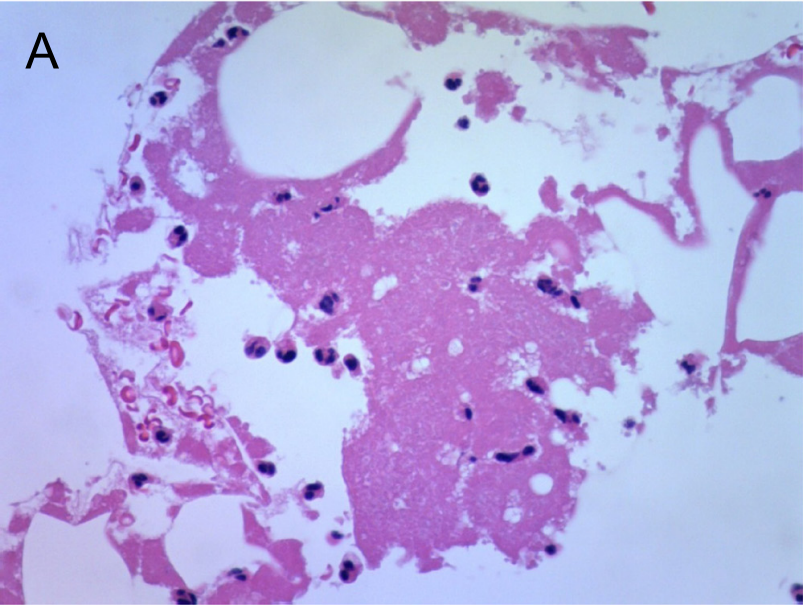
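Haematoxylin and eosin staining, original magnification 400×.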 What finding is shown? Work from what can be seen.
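Numerous small cells with dark, lobulated nuclei are scattered through pink material. The cells lie within and along the edges of the pink mass. That points to this answer: infiltration of inflammatory cells.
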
